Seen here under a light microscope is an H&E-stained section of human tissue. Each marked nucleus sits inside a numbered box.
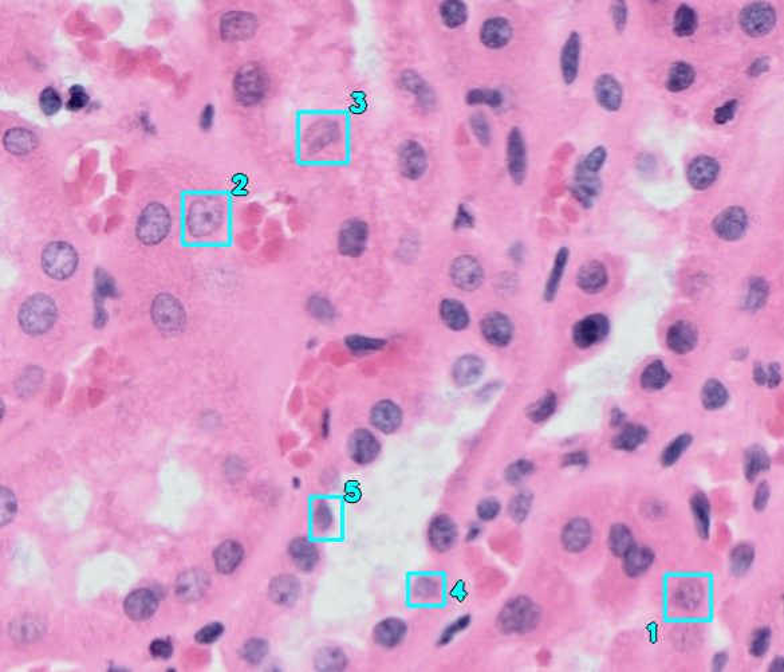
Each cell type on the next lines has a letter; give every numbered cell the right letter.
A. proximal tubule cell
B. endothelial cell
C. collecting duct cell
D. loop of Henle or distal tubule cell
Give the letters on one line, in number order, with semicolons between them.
A; A; A; D; D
